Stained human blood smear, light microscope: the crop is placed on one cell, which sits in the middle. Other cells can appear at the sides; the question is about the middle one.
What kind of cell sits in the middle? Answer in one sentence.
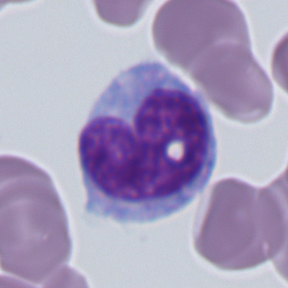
To answer, the cell in the center of the crop is a monocyte.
